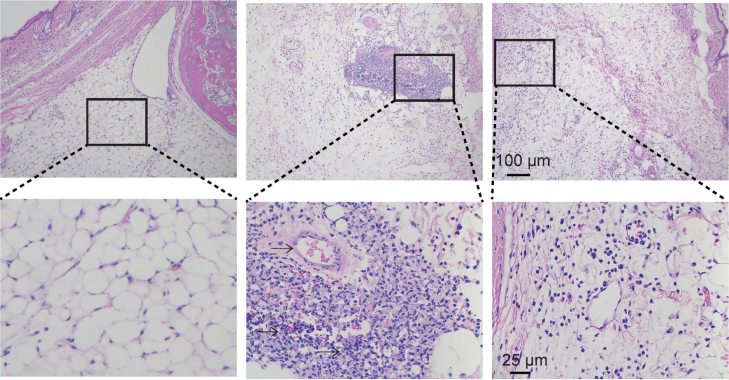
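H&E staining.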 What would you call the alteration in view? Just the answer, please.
Inflammatory cell infiltrations.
